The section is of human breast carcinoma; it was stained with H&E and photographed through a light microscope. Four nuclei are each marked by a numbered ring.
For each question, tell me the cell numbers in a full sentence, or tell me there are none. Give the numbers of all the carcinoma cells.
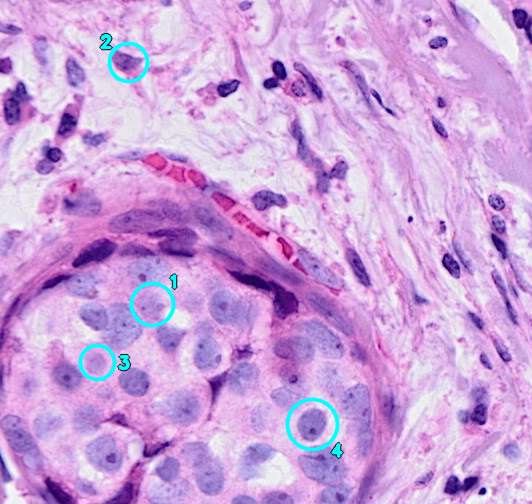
To be specific, the cells numbered 1, 3 and 4 are carcinoma cells.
